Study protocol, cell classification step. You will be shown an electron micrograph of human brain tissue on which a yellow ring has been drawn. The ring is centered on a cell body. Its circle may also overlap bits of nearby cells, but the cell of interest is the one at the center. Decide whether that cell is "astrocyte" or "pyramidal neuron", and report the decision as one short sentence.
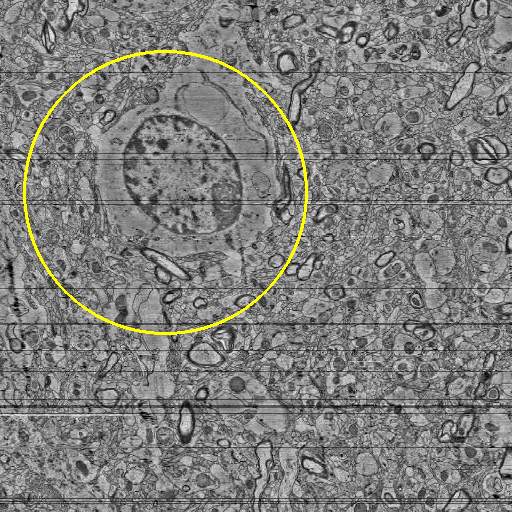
The marked cell is an astrocyte.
